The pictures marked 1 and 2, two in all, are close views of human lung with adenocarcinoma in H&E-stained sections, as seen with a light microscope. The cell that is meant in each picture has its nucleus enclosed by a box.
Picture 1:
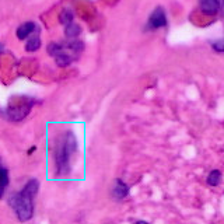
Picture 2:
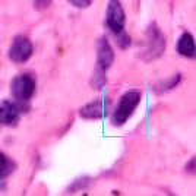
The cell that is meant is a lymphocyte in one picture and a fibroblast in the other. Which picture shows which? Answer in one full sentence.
Picture 2 shows a lymphocyte, while picture 1 shows a fibroblast.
